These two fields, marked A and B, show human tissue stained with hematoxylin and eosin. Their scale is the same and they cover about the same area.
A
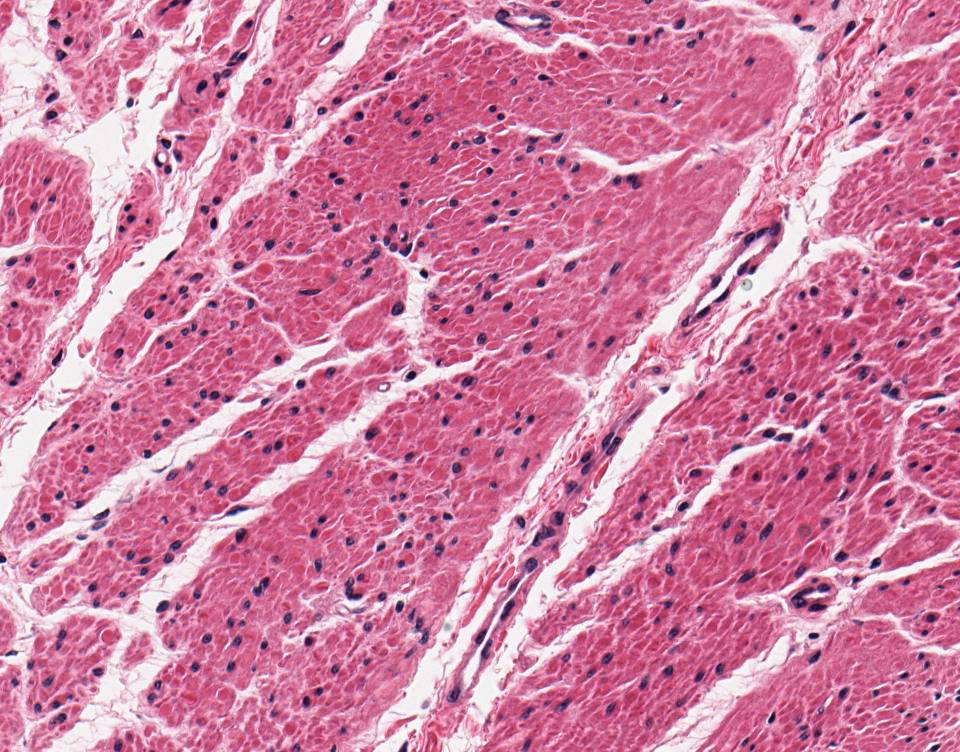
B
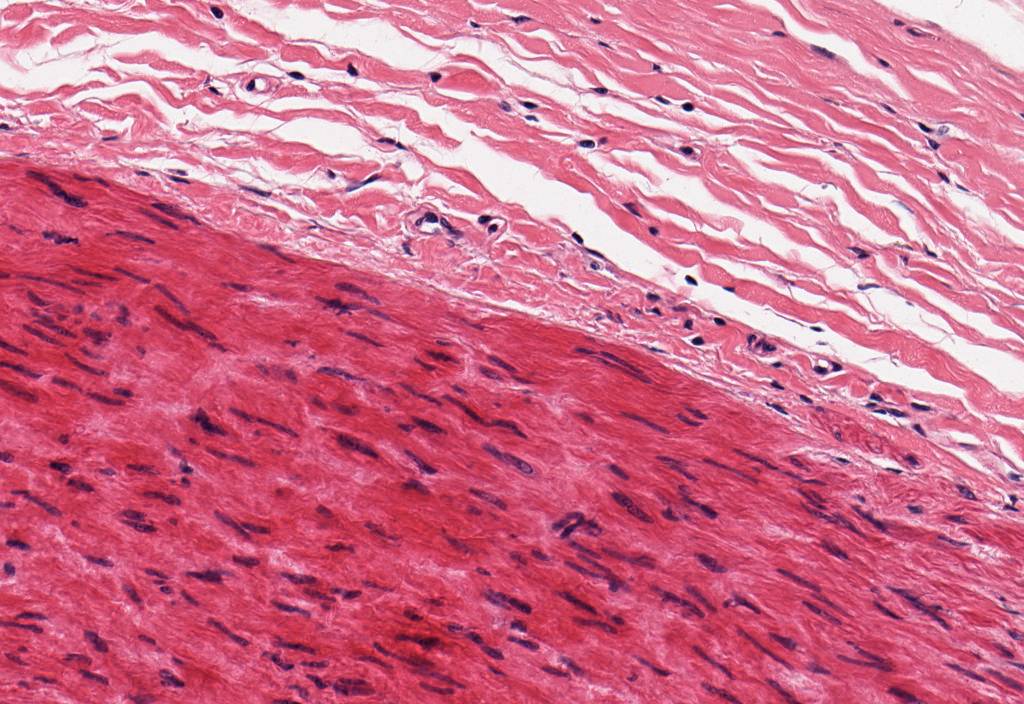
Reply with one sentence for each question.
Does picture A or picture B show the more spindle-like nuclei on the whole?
It is picture B whose nuclei are the more elongated.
